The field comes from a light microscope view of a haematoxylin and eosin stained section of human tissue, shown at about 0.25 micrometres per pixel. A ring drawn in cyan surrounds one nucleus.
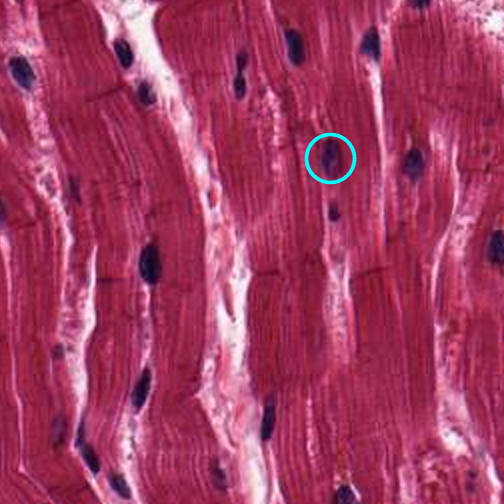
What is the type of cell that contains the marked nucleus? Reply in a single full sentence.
The mark falls on a nucleus belonging to a cardiomyocyte.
